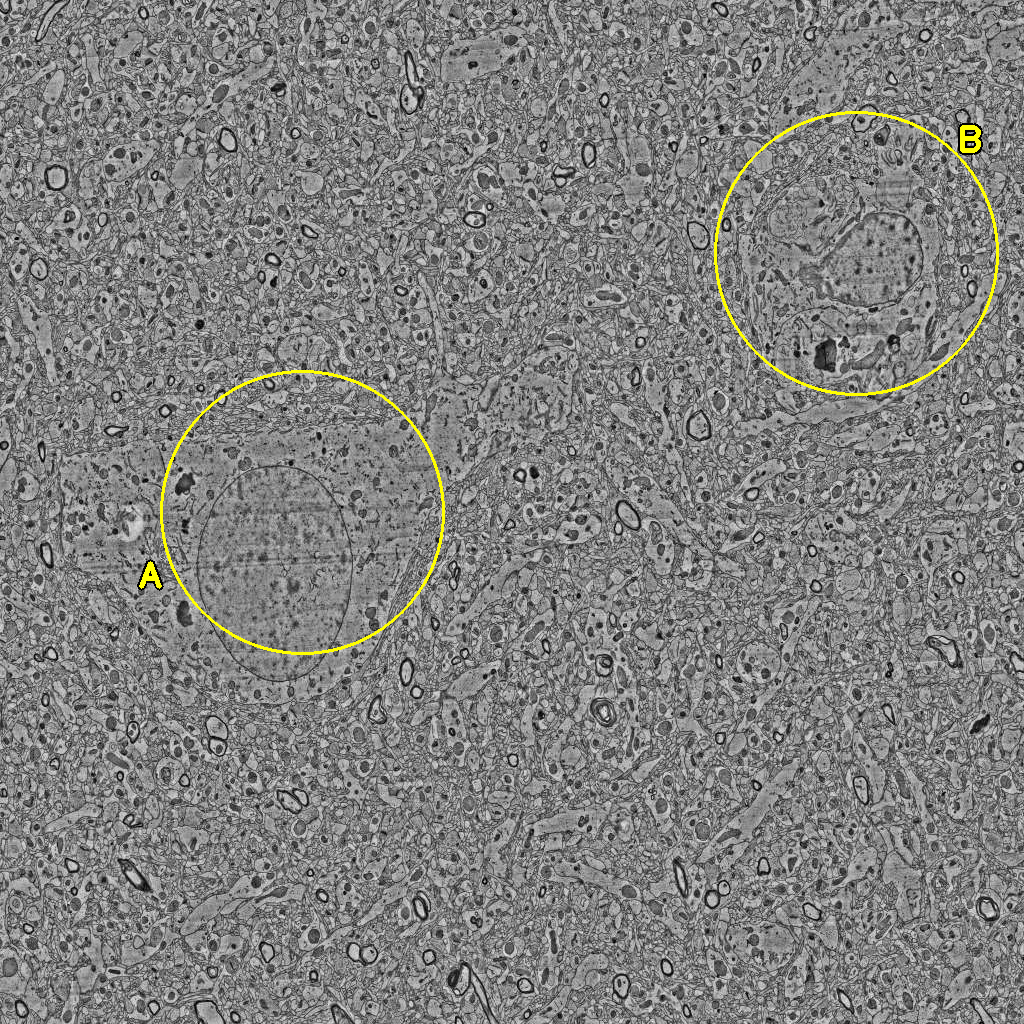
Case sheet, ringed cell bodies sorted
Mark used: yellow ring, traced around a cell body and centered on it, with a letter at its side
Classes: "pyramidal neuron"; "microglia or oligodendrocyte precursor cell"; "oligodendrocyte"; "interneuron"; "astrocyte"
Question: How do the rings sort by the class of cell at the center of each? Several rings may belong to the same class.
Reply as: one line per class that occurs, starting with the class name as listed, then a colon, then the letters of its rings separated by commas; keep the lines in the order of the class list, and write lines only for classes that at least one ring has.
pyramidal neuron: A
microglia or oligodendrocyte precursor cell: B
